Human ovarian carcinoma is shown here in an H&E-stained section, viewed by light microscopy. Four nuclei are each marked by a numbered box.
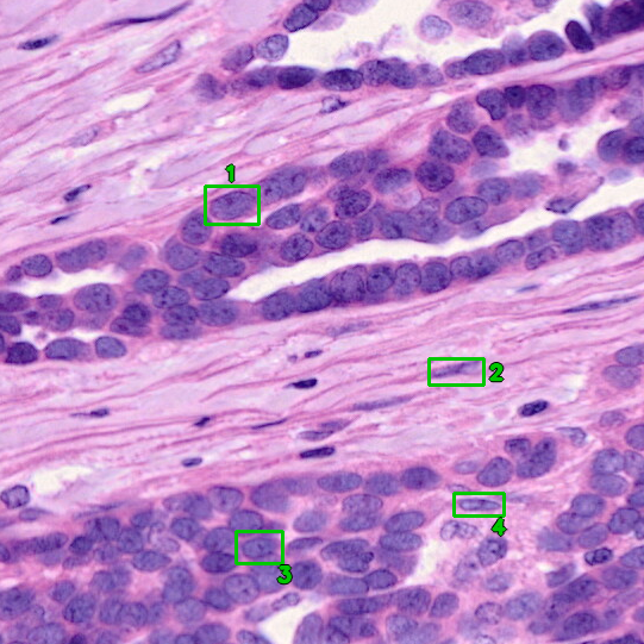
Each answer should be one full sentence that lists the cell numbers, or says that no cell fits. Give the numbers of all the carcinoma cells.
Here, the cells that carry numbers 1 and 3 are carcinoma cells.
